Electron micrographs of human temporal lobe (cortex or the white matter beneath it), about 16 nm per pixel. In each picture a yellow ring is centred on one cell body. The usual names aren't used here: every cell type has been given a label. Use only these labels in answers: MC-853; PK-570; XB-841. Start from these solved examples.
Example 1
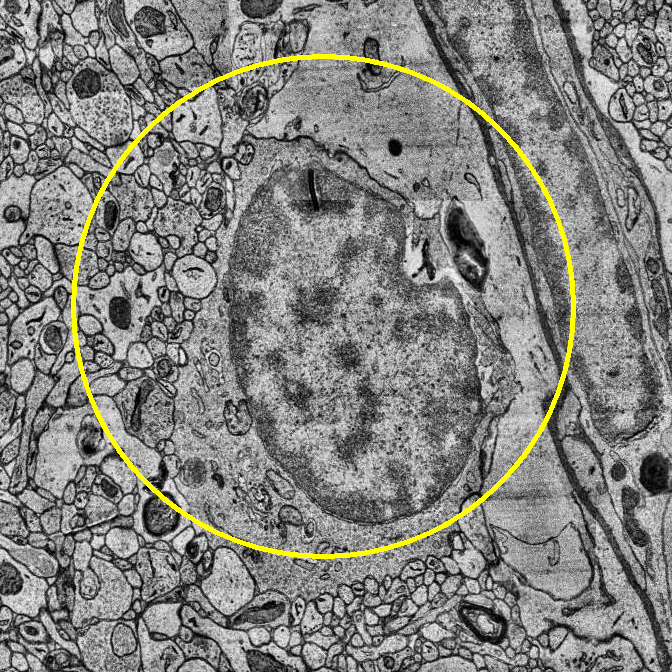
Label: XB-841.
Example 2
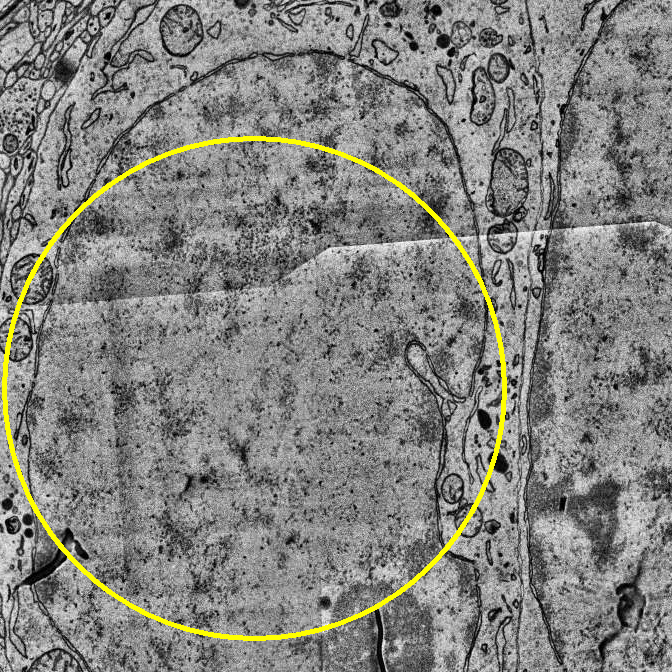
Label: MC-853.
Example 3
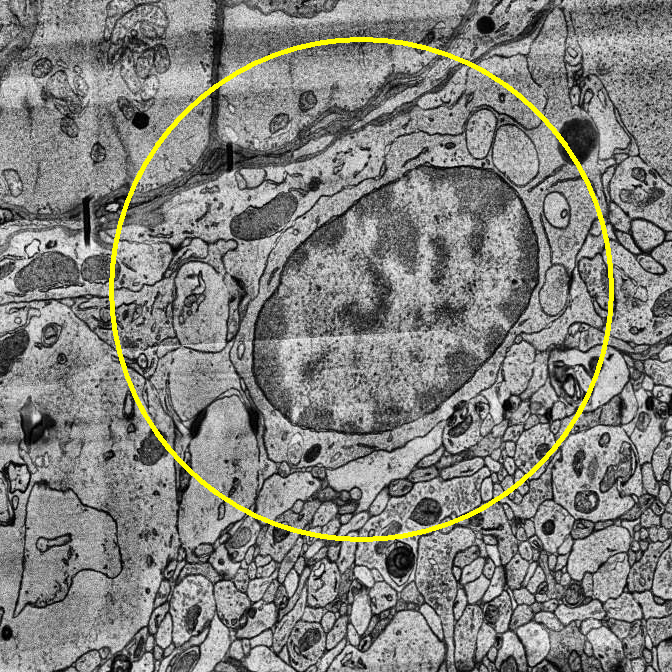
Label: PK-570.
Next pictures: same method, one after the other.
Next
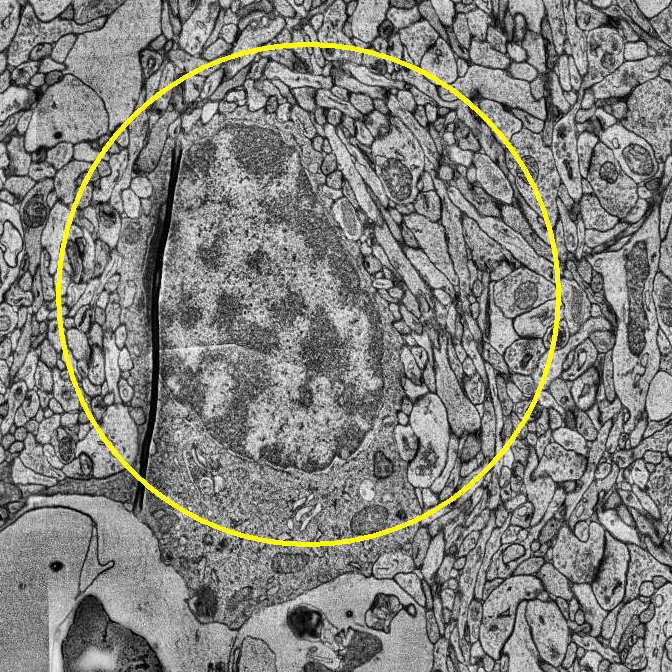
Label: XB-841.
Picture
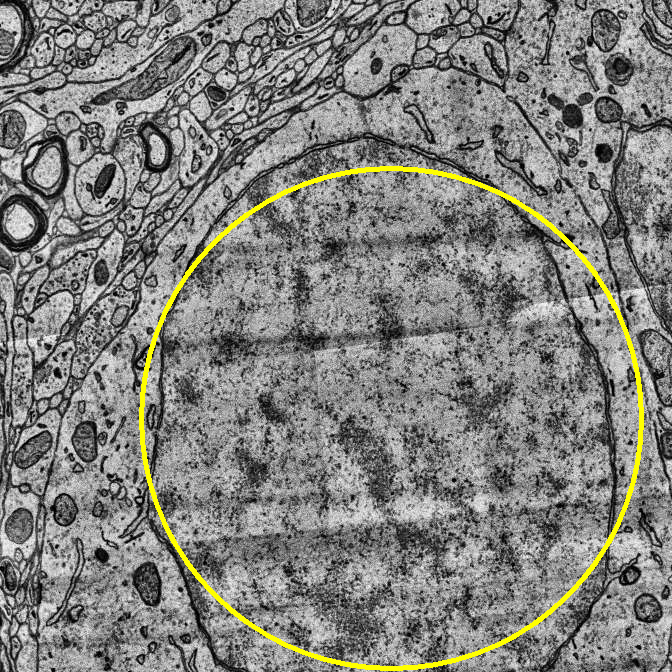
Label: MC-853.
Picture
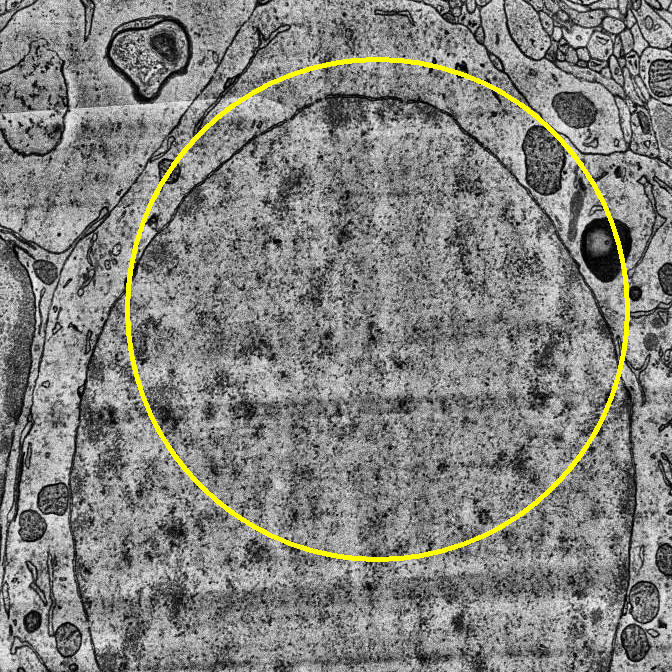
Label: MC-853.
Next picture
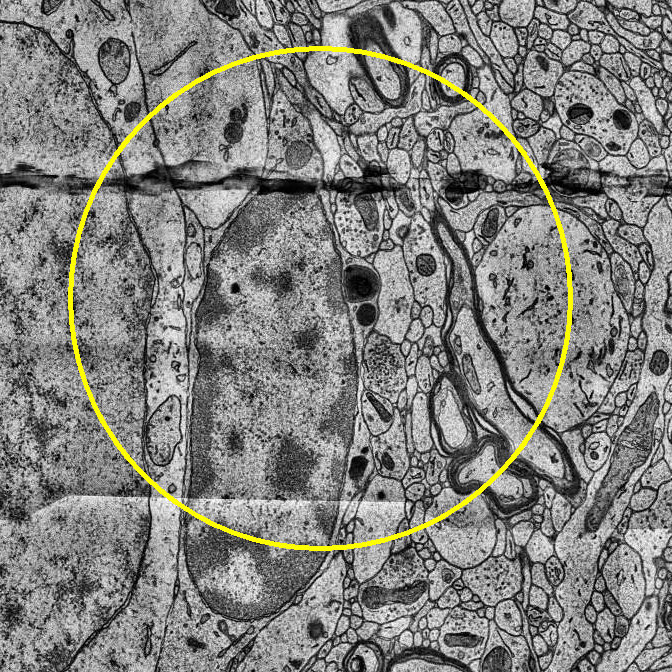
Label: PK-570.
